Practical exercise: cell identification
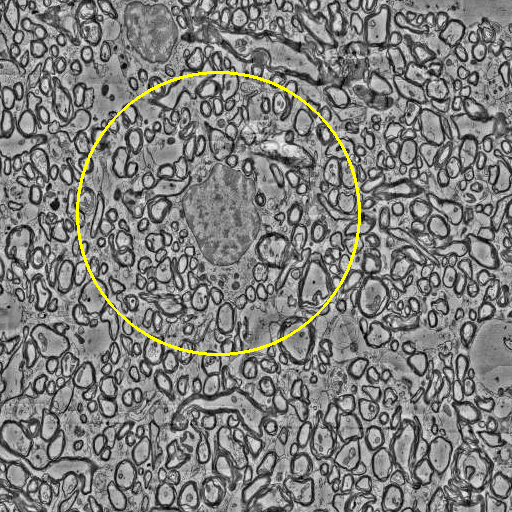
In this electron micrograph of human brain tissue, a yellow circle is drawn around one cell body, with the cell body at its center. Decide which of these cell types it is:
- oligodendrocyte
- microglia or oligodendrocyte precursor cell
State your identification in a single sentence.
The ringed cell is an oligodendrocyte.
